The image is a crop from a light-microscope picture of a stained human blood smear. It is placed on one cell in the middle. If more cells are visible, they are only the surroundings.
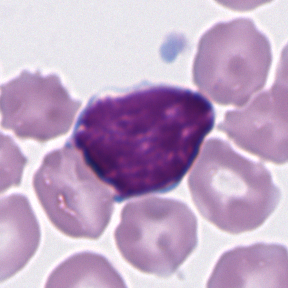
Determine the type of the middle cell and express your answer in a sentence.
What sits at the centre of this crop is a typical lymphocyte.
